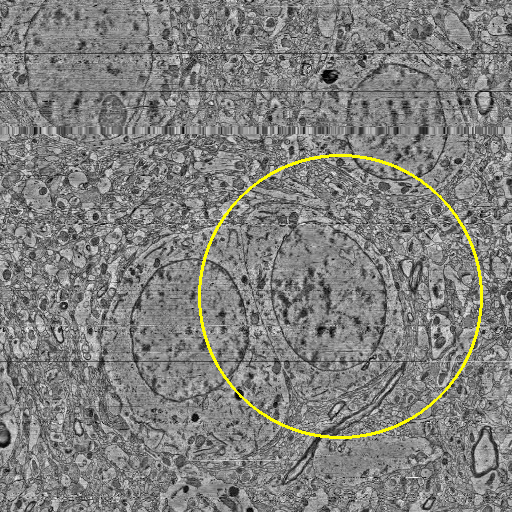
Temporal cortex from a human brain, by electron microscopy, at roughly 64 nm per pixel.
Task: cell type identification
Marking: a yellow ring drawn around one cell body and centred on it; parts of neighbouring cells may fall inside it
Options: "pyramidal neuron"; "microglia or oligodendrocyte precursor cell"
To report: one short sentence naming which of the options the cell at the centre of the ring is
The cell at the centre of the ring is a pyramidal neuron.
